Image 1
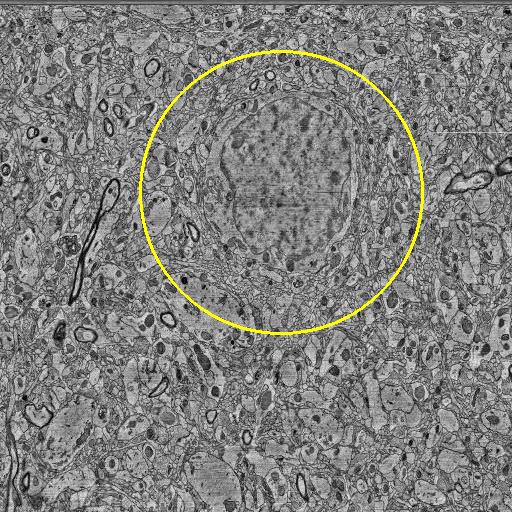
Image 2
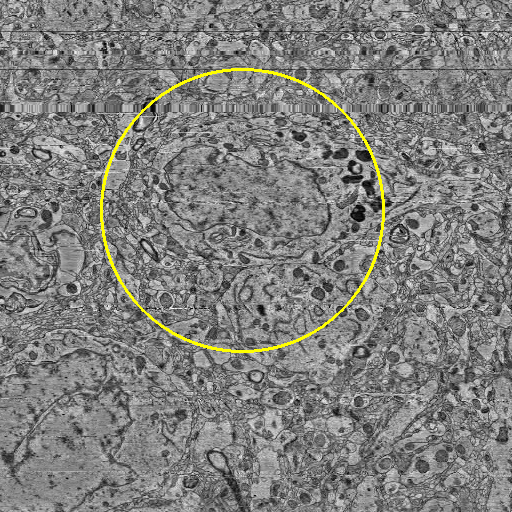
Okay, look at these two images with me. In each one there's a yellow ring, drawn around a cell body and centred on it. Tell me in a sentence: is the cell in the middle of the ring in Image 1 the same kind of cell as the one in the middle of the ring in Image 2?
Yes, they're the same kind of cell.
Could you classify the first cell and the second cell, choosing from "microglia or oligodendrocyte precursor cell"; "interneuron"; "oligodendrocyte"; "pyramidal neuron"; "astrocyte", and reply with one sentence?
Each cell, in the first picture and the second, is an interneuron.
